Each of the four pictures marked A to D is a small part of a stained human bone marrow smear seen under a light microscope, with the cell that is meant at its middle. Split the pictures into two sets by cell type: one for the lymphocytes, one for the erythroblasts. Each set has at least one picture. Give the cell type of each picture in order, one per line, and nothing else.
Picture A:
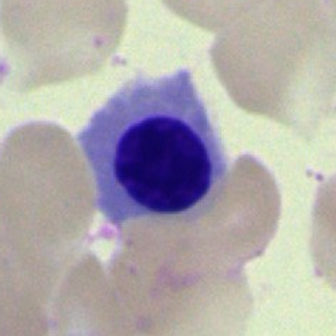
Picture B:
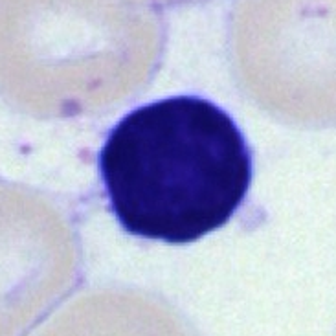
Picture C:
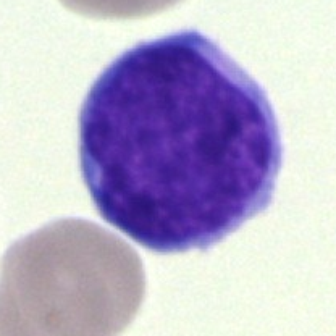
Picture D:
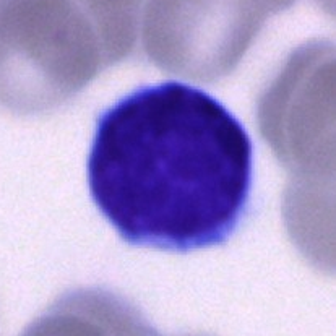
erythroblast
lymphocyte
lymphocyte
lymphocyte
